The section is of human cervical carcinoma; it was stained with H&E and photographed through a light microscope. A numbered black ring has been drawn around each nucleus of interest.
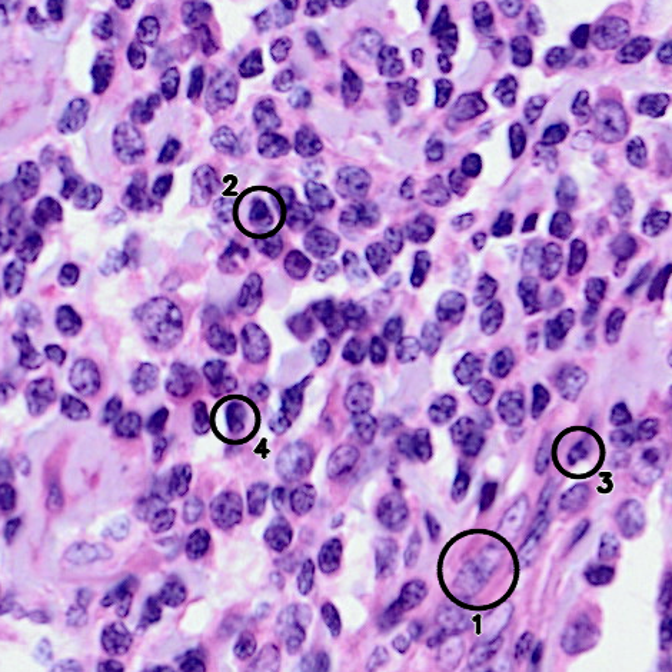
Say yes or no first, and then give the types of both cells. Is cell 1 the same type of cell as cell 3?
No, cell 1 is an endothelial cell, with cell 3 being a lymphocyte.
